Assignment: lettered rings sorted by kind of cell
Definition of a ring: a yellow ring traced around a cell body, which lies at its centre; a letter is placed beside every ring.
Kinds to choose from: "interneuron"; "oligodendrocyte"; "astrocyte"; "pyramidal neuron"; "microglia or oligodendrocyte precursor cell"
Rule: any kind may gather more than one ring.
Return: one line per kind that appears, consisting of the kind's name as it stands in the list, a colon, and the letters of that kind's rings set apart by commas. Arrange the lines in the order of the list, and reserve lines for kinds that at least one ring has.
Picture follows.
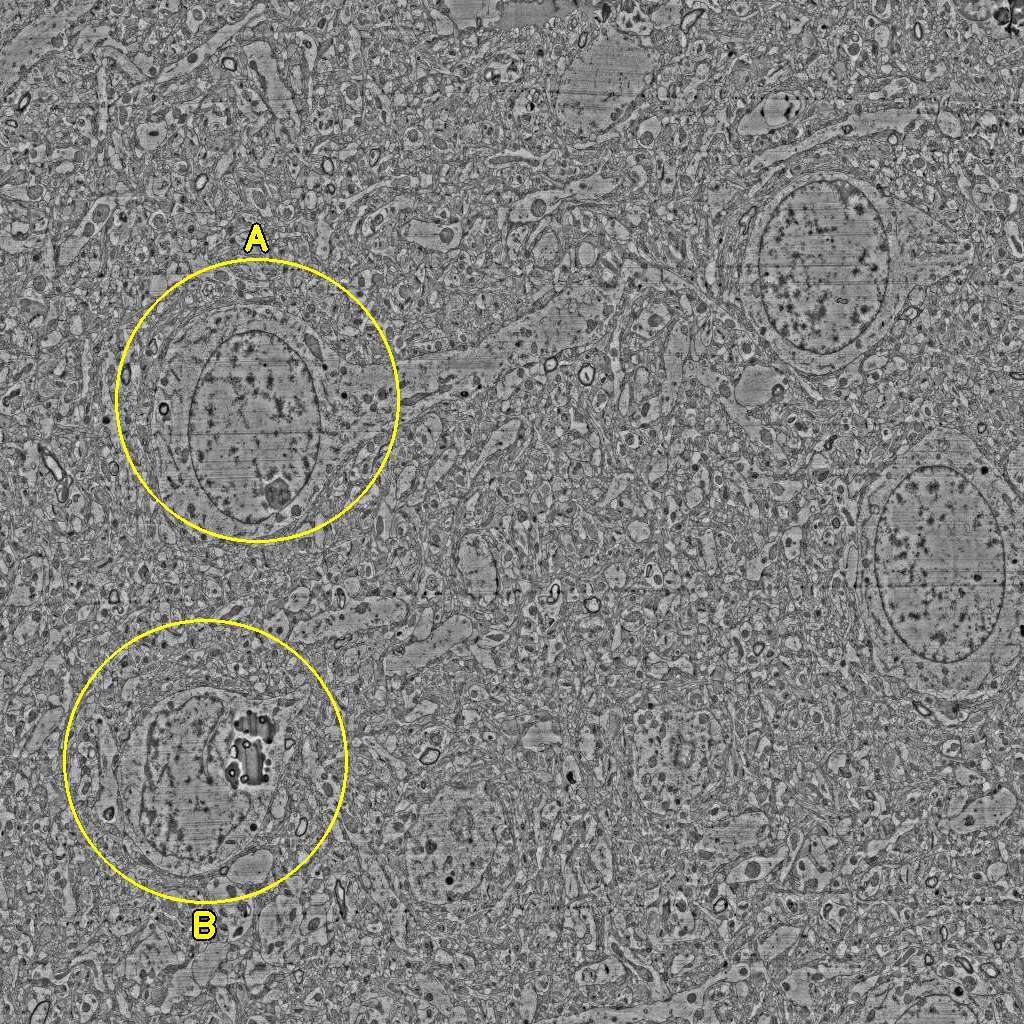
interneuron: B
pyramidal neuron: A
